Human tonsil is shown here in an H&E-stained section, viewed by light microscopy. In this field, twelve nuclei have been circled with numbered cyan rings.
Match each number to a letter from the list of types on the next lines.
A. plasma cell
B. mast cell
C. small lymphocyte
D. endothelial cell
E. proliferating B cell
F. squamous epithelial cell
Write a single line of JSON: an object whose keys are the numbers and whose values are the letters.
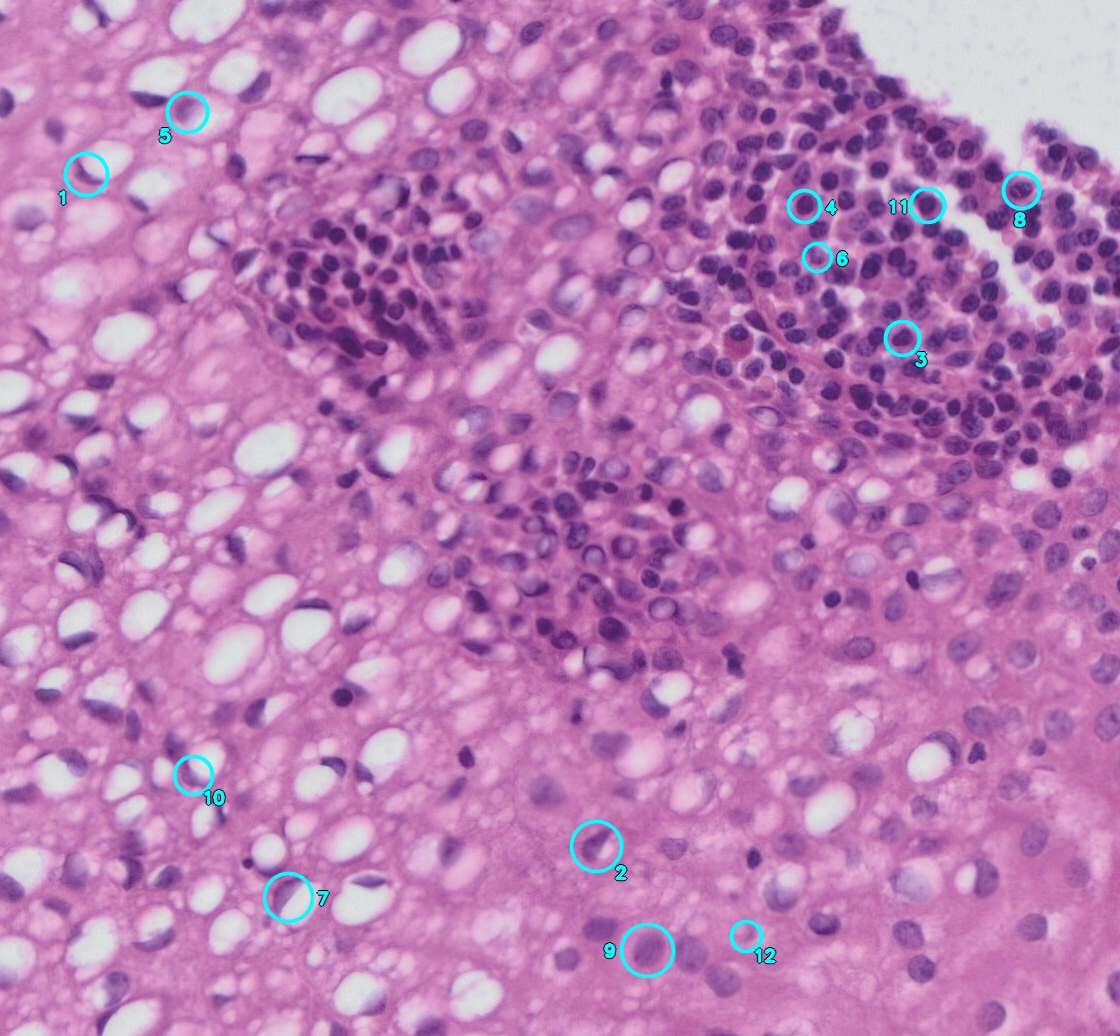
{"1": "F", "2": "F", "3": "A", "4": "A", "5": "F", "6": "A", "7": "F", "8": "A", "9": "F", "10": "F", "11": "A", "12": "F"}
